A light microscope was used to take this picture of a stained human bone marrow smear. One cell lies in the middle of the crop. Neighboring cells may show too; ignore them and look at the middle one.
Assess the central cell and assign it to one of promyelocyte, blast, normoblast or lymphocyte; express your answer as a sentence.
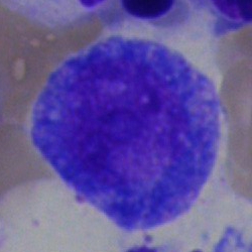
In the crop, the cell of interest at the centre is a promyelocyte.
